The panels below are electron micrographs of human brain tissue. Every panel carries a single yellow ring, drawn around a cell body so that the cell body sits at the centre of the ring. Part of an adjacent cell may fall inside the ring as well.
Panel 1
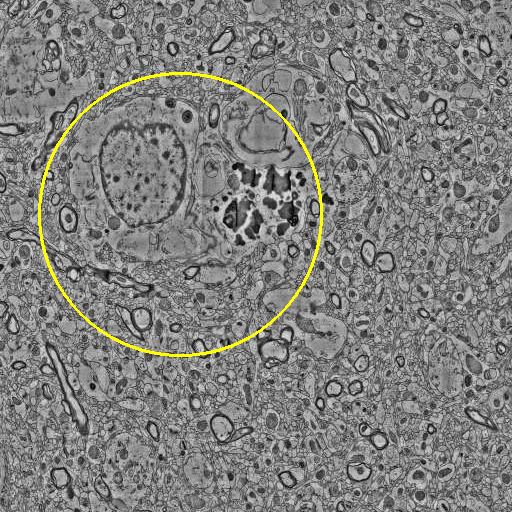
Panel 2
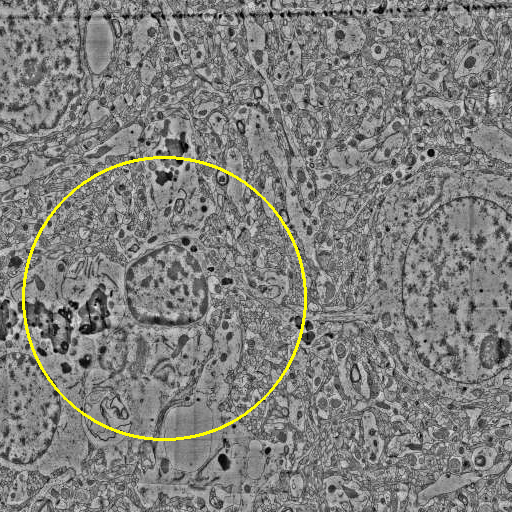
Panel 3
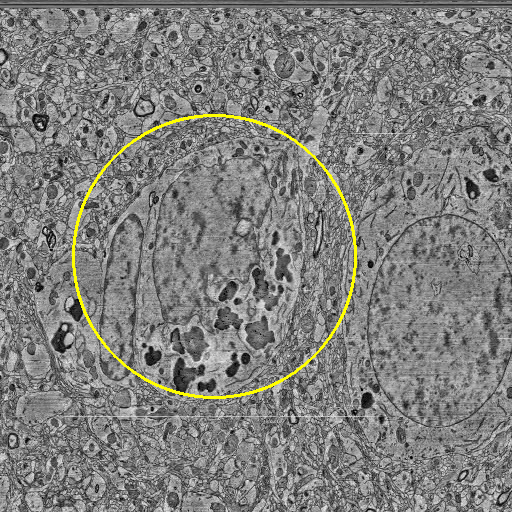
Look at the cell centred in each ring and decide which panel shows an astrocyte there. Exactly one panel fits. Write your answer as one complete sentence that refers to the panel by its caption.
Panel 1 has it at the centre of its ring.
